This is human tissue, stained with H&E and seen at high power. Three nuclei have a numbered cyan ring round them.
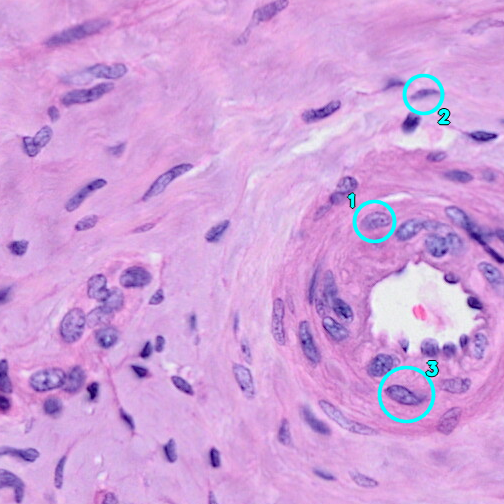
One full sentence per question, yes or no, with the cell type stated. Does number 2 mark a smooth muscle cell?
No, cell 2 does not count as a smooth muscle cell; it is a fibroblast.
